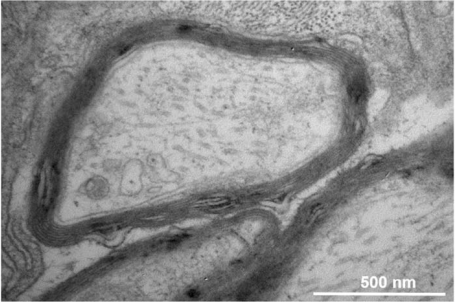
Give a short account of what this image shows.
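A dark ring of layered myelin sheath surrounds a pale axon. The axon interior has a fine filamentous texture with a few small membrane-bound profiles. Fine concentric lamellae can be made out within the sheath, which is relatively thin compared with the axon's width. Parts of neighbouring myelinated fibers lie at the edges of the field.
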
